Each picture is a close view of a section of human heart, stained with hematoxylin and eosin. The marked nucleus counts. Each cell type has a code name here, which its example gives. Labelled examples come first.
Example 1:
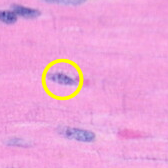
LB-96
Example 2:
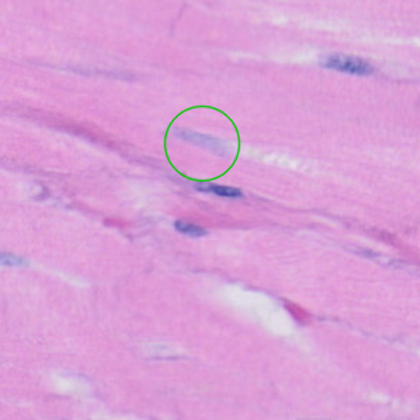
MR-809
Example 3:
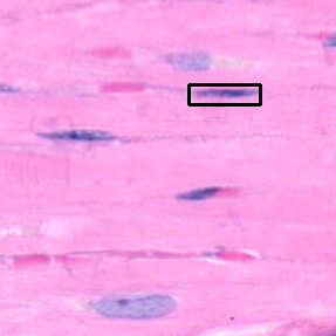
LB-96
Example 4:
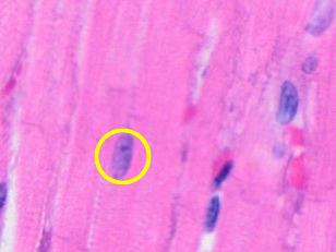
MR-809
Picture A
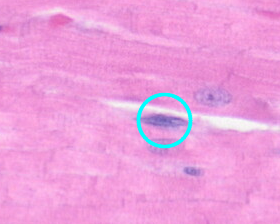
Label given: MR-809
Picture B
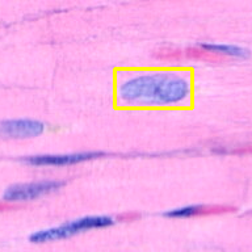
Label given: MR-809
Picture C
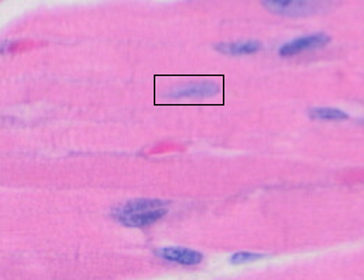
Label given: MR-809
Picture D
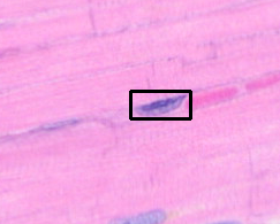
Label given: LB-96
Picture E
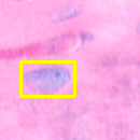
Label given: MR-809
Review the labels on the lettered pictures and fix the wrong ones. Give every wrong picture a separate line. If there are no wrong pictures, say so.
A should be LB-96, not MR-809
